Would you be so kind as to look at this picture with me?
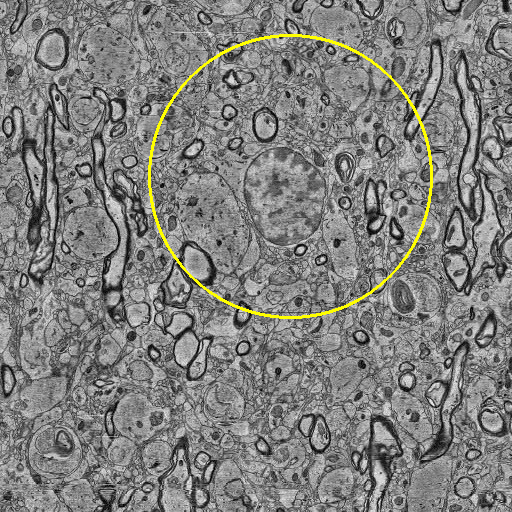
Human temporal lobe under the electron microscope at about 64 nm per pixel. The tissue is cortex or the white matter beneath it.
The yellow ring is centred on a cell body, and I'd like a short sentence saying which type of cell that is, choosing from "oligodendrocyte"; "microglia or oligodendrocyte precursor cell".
The cell body in the ring belongs to a microglial cell or oligodendrocyte precursor cell.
